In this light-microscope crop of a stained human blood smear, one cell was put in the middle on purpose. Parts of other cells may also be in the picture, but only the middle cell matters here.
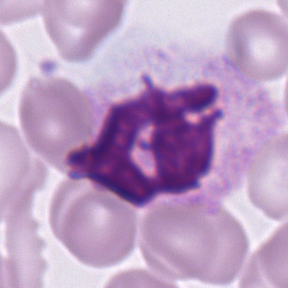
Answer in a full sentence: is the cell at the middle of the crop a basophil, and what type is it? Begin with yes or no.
No, the central cell is designated a segmented neutrophil and not a basophil.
